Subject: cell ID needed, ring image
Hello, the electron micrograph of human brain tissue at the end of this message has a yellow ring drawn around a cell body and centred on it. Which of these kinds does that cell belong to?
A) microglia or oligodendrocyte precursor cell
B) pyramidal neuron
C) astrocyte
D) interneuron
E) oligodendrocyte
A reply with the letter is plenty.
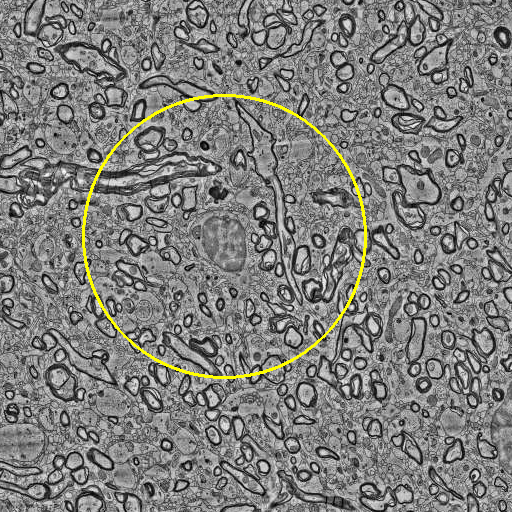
E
